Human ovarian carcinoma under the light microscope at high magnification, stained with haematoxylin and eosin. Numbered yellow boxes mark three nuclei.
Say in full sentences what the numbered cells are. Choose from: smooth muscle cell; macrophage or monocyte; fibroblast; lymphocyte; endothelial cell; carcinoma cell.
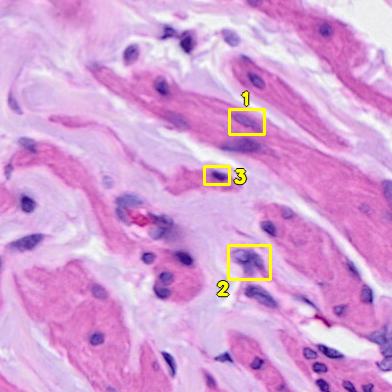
Cell 1 is a smooth muscle cell, cell 2 is an endothelial cell and cell 3 is a smooth muscle cell.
